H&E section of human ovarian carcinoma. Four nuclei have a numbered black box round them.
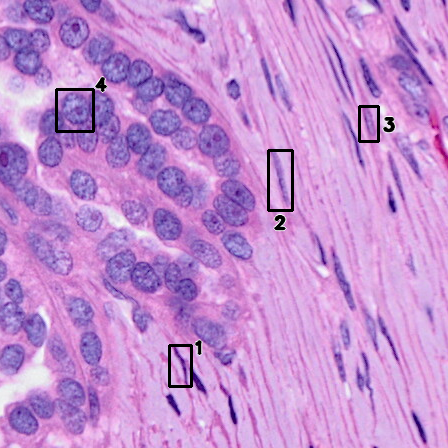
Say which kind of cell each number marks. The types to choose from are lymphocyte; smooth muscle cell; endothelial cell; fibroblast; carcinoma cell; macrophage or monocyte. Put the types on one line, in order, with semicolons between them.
fibroblast; fibroblast; fibroblast; carcinoma cell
